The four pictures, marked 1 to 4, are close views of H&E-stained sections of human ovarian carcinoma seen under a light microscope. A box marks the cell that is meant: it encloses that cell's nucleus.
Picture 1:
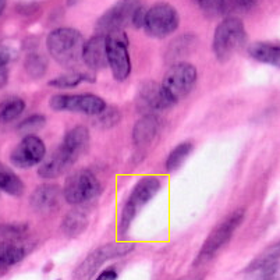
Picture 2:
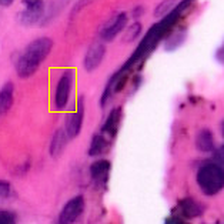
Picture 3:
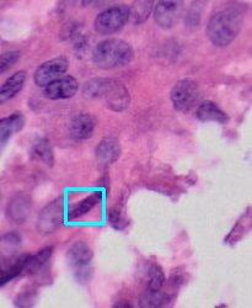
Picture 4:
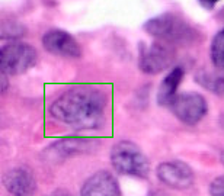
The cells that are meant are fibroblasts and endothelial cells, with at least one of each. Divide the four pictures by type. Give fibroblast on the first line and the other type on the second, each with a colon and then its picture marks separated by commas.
fibroblast: 1
endothelial cell: 2, 3, 4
